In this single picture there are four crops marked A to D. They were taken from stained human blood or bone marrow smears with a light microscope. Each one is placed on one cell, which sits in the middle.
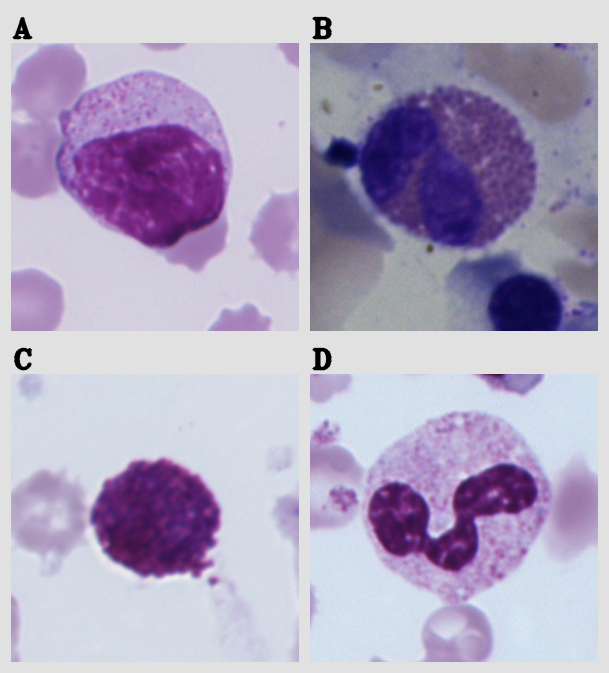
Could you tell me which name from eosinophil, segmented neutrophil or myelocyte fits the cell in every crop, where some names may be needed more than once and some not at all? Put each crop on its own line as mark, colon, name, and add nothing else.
A: myelocyte
B: eosinophil
C: eosinophil
D: segmented neutrophil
